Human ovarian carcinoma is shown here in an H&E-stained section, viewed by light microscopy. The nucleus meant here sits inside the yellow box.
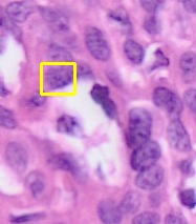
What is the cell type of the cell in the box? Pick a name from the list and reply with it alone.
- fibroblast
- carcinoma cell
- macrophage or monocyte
carcinoma cell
